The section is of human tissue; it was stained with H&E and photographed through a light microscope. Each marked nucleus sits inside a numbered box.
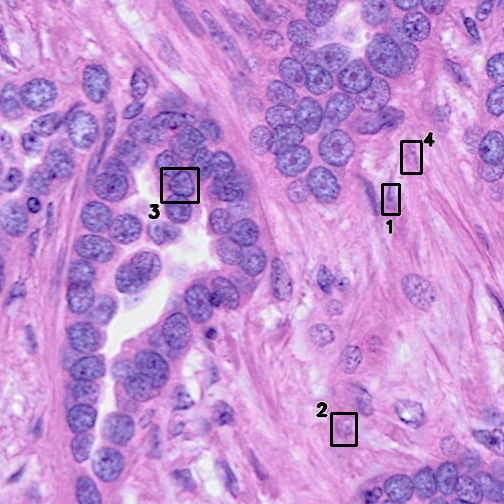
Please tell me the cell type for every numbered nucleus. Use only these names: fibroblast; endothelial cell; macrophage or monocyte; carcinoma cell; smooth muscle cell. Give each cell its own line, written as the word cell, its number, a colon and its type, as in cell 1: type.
cell 1: fibroblast
cell 2: fibroblast
cell 3: carcinoma cell
cell 4: fibroblast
